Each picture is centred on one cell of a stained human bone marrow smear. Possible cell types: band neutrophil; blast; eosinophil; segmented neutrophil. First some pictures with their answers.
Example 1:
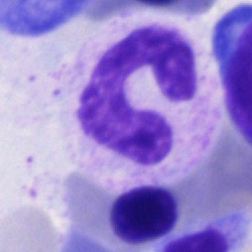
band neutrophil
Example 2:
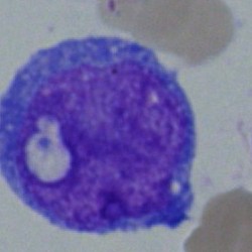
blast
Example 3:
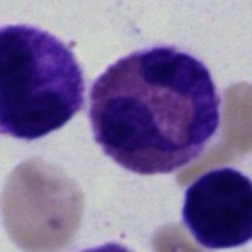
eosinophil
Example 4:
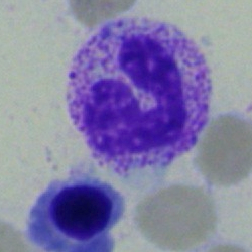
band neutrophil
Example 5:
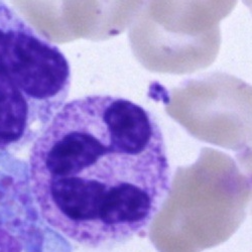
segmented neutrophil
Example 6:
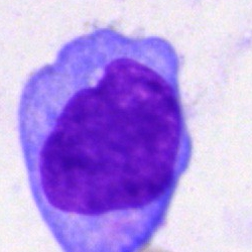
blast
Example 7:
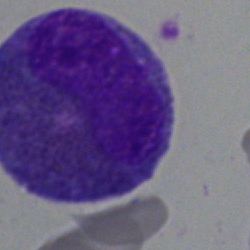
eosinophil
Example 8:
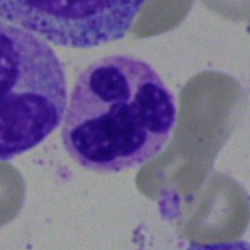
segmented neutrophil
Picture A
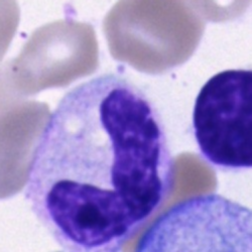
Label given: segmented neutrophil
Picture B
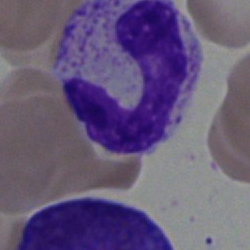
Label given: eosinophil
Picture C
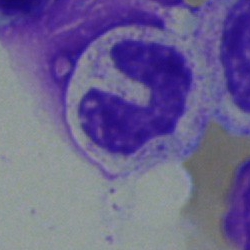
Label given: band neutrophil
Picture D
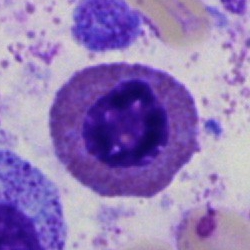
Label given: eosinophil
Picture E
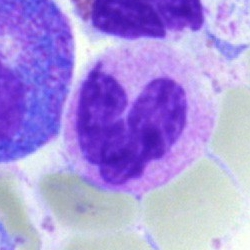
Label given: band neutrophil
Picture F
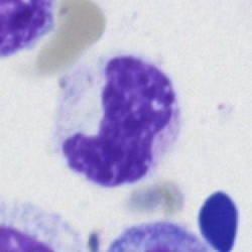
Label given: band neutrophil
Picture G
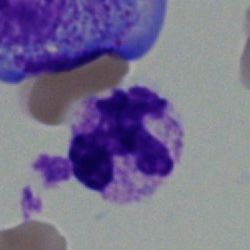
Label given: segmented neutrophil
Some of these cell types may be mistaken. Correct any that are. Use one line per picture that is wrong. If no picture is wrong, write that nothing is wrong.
A: band neutrophil, not segmented neutrophil
B: band neutrophil, not eosinophil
